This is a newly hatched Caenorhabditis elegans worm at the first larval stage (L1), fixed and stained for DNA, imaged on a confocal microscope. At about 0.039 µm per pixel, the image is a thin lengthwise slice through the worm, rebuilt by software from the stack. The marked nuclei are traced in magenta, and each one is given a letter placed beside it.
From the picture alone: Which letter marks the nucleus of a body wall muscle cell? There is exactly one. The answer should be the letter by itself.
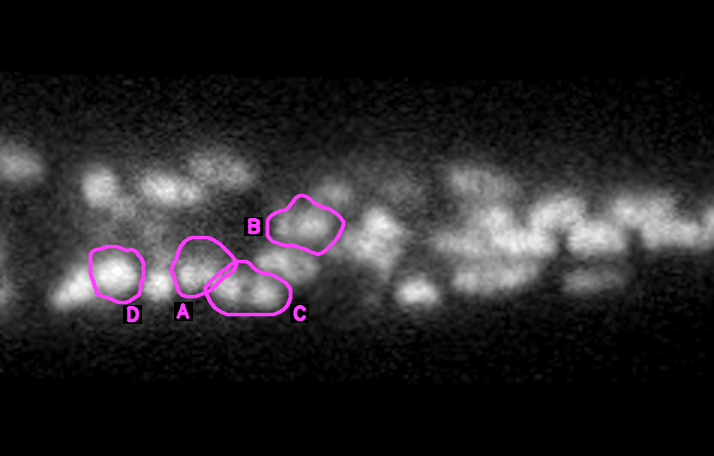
C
